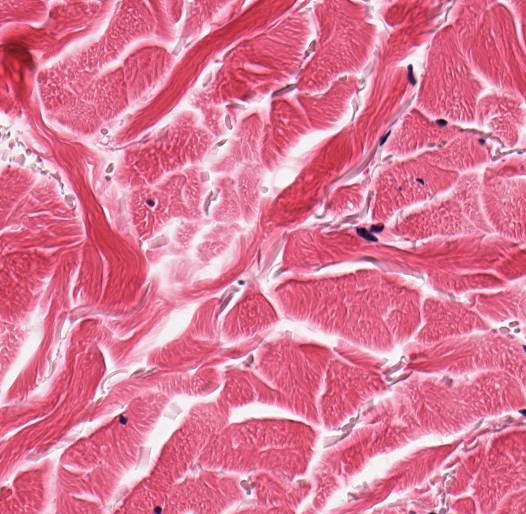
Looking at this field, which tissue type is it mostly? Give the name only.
dermis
